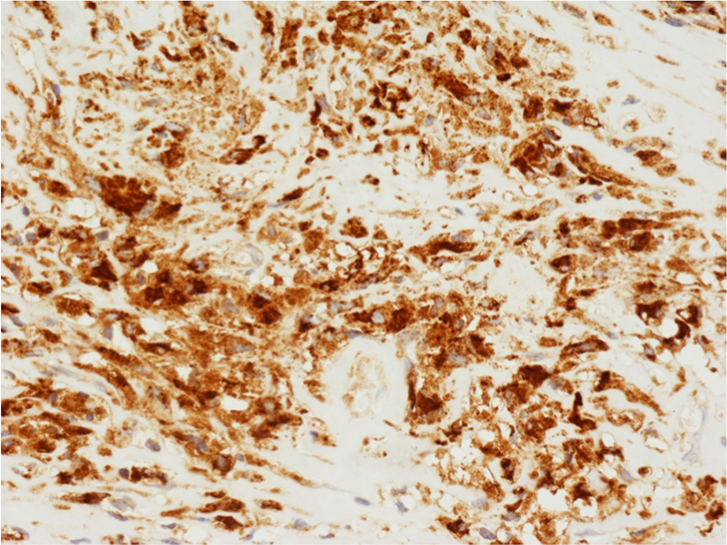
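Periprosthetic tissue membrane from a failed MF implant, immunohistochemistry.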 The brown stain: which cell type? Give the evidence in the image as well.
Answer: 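Large, irregular cells with abundant brown cytoplasm fill the field. The brown cytoplasm is granular and coarse. Pale blue nuclei lie within or beside the brown cells in a loose fibrous stroma.
Hence: foreign body macrophages.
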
